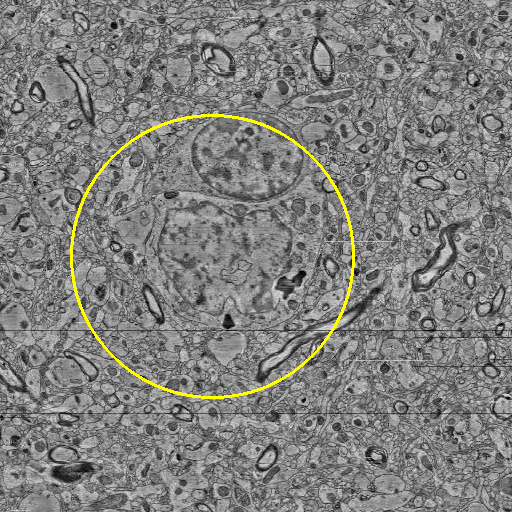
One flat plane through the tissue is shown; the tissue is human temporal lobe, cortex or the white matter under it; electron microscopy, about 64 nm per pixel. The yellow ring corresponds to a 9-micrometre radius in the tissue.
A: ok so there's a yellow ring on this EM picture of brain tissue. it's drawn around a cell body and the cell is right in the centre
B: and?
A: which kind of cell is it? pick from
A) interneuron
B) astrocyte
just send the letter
A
